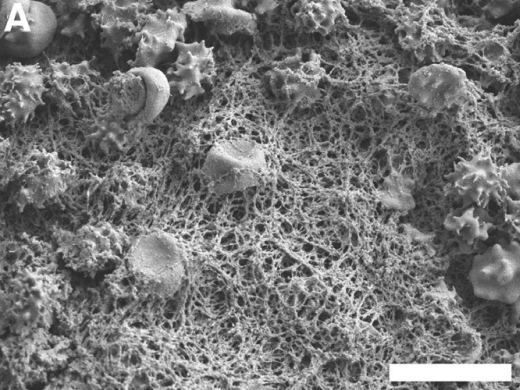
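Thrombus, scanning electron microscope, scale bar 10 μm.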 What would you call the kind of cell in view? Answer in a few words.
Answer: Echinocytes.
